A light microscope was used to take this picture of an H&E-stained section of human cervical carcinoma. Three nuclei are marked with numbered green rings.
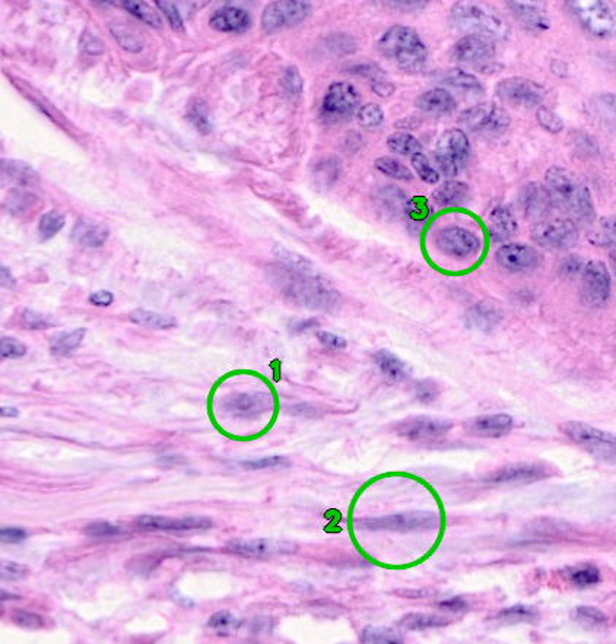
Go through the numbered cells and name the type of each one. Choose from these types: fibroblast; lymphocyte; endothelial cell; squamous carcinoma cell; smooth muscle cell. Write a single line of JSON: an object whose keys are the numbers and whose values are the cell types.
{"1": "fibroblast", "2": "fibroblast", "3": "squamous carcinoma cell"}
